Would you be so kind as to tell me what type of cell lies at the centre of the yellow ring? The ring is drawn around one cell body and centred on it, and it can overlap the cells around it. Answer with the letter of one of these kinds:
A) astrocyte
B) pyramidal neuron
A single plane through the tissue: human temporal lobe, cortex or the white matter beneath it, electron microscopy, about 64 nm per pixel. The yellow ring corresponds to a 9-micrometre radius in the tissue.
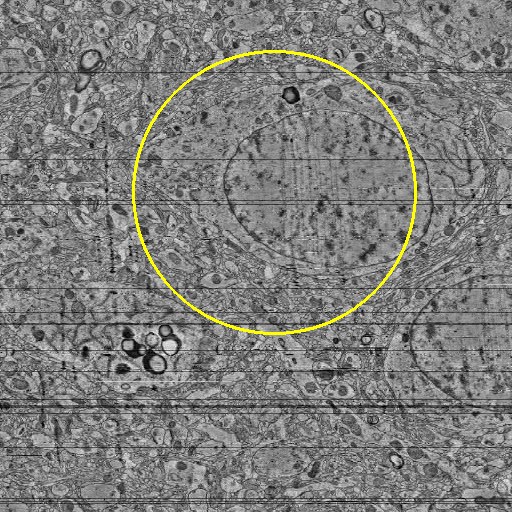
B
